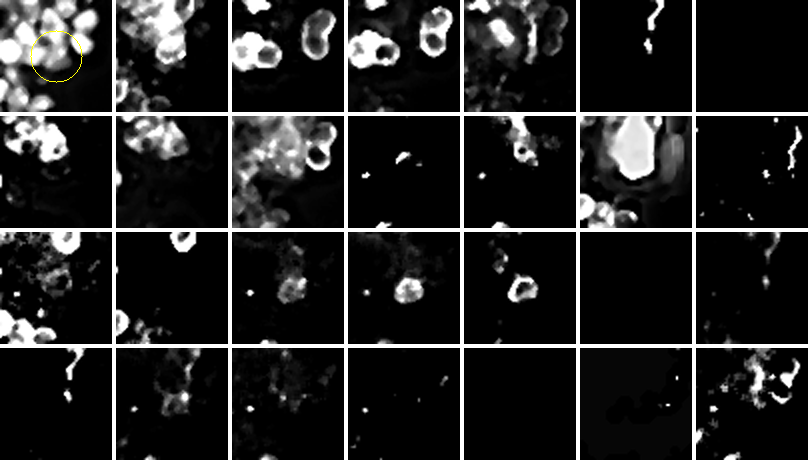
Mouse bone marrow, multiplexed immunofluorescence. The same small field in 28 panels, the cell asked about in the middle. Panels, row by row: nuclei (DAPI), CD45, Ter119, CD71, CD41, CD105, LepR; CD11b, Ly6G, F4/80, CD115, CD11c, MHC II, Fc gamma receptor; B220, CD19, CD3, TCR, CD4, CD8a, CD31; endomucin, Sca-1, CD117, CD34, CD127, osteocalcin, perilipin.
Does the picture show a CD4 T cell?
Yes.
